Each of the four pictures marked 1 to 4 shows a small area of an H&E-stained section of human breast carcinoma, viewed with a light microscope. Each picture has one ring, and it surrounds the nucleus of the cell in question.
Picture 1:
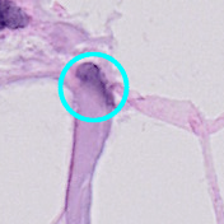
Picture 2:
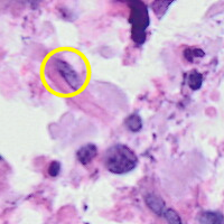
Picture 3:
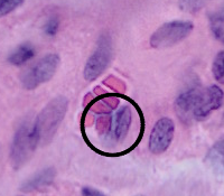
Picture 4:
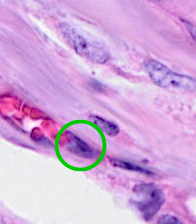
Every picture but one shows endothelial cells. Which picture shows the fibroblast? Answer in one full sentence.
The fibroblast is the one in picture 1.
